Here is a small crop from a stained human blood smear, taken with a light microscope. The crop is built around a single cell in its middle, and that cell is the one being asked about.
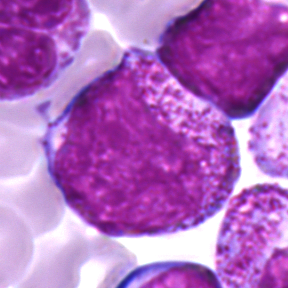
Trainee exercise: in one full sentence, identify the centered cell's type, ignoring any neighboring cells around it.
This particular crop is centered on a promyelocyte.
